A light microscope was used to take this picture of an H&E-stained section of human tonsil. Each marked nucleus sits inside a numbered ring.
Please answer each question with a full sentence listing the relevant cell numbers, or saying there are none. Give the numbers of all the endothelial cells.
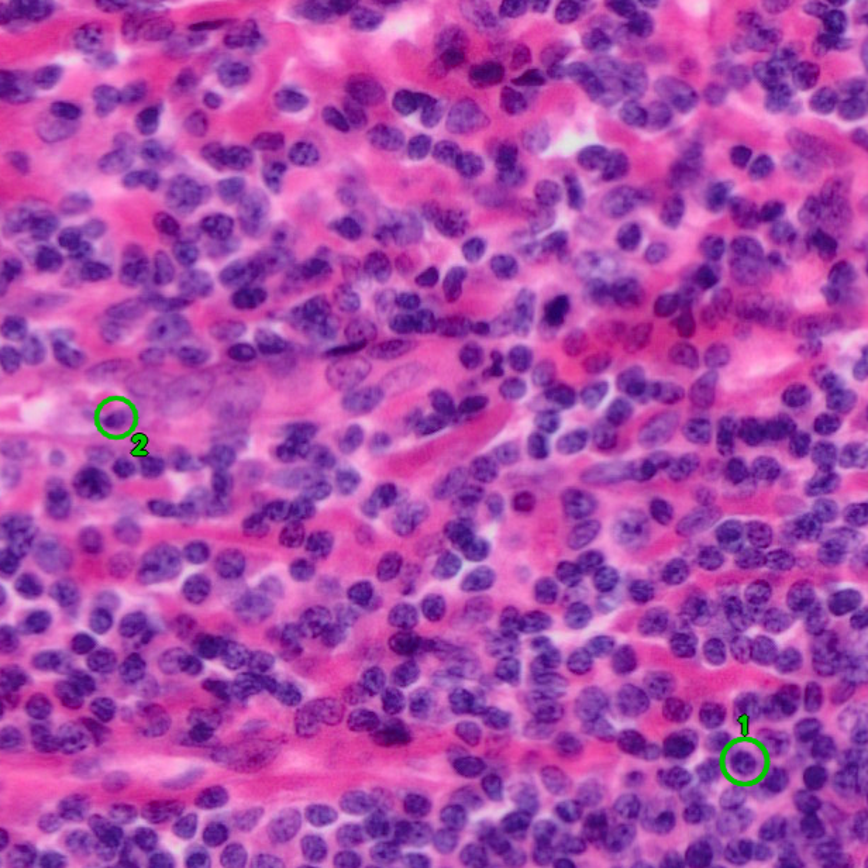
Of the cells carrying numbers, just cell 2 is an endothelial cell.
